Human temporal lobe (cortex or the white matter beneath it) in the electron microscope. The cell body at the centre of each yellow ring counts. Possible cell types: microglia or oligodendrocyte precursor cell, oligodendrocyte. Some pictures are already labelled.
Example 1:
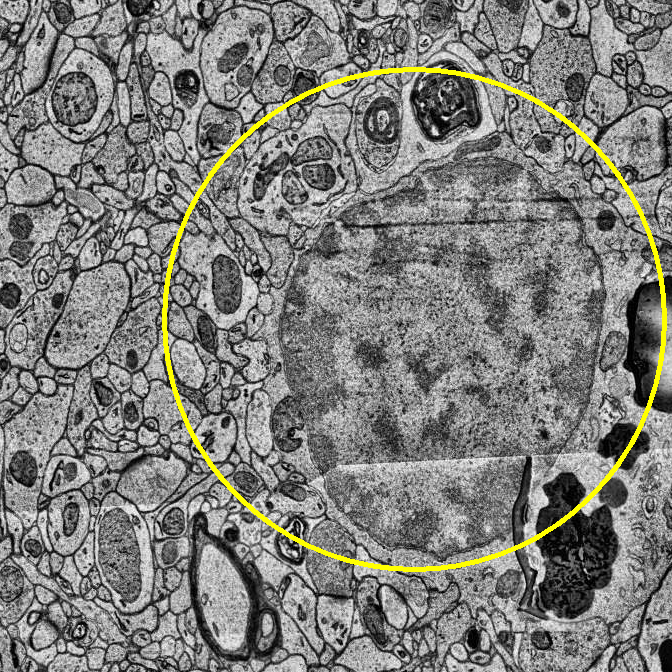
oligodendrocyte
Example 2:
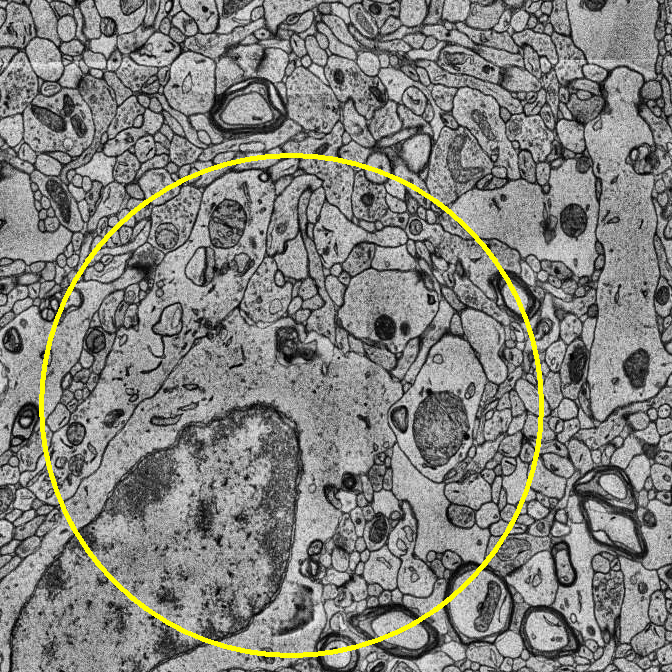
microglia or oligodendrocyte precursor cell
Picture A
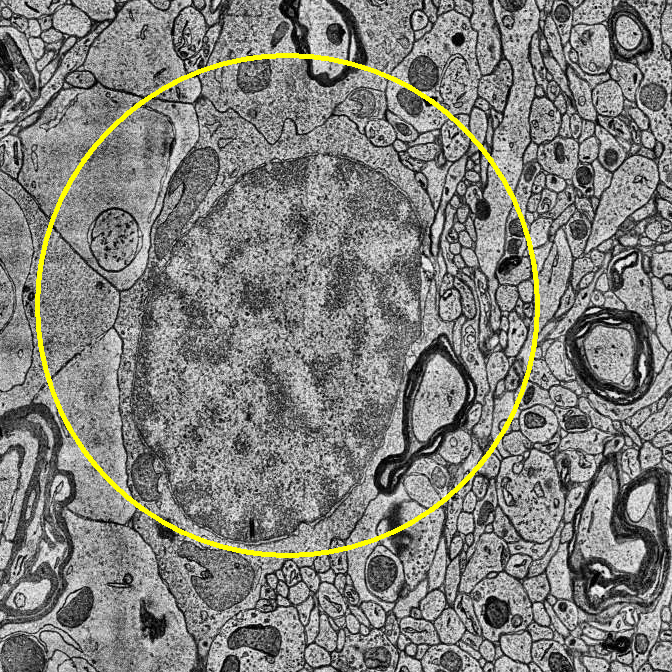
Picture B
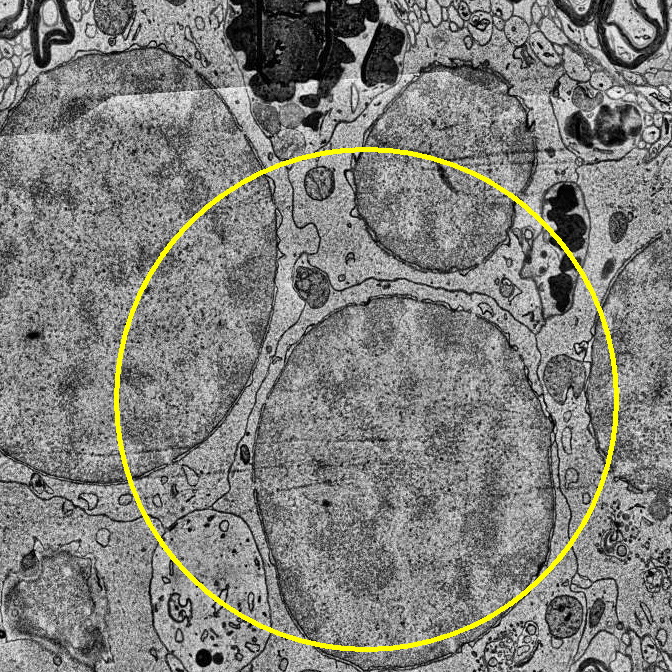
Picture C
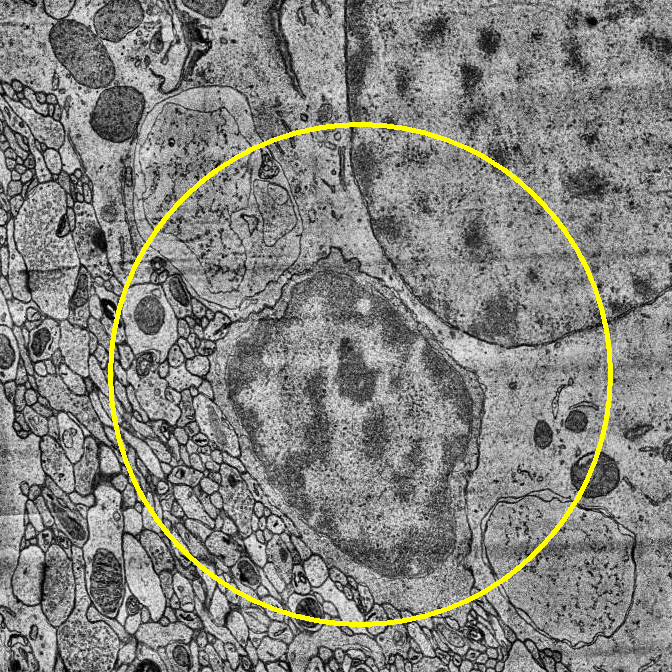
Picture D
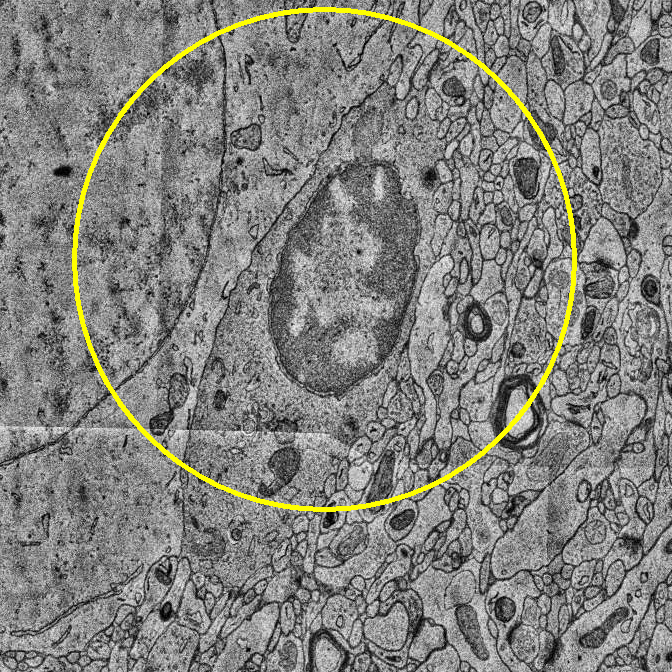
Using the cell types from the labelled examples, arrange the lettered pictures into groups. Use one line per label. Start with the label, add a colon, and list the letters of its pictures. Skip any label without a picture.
oligodendrocyte: A, B, C, D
